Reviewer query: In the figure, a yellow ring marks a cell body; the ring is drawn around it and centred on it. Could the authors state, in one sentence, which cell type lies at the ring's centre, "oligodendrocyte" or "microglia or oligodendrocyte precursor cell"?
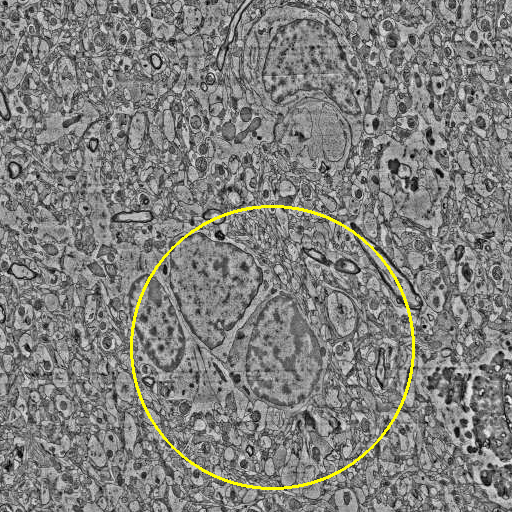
The ring is centred on an oligodendrocyte.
